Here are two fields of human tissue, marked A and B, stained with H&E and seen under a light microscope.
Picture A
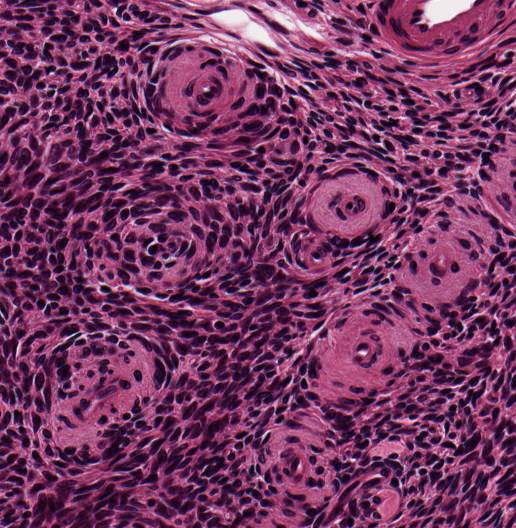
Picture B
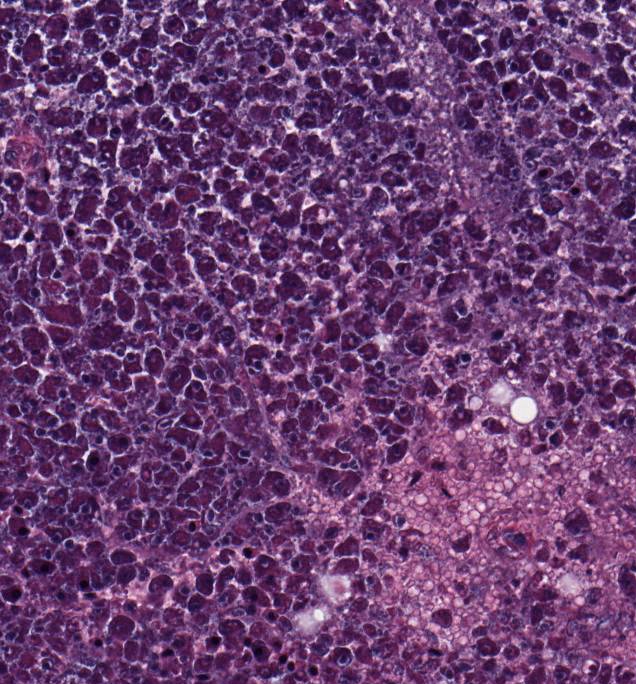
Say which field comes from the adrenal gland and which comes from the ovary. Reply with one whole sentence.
It is picture A that comes from the ovary, and picture B that comes from the adrenal gland.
